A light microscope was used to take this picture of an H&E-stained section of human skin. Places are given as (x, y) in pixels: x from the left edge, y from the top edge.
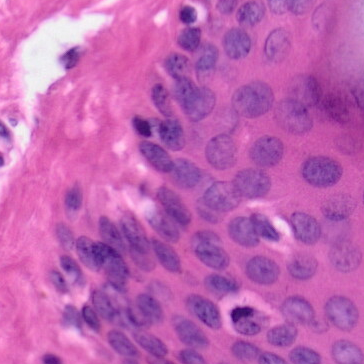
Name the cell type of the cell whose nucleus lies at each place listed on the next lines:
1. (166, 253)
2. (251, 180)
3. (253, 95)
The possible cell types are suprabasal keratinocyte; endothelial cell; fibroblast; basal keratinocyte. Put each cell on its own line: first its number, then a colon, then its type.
1: basal keratinocyte
2: suprabasal keratinocyte
3: suprabasal keratinocyte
